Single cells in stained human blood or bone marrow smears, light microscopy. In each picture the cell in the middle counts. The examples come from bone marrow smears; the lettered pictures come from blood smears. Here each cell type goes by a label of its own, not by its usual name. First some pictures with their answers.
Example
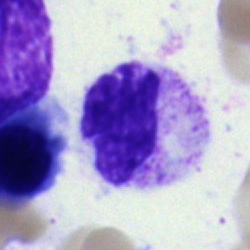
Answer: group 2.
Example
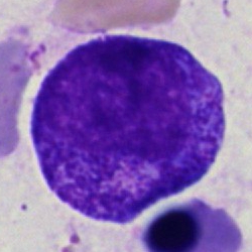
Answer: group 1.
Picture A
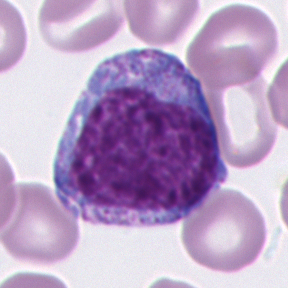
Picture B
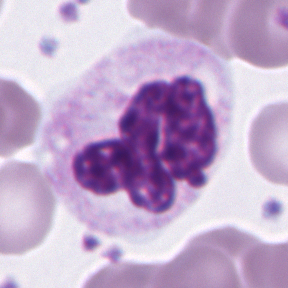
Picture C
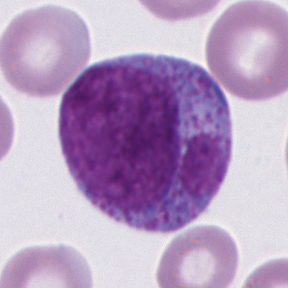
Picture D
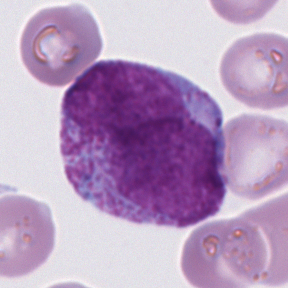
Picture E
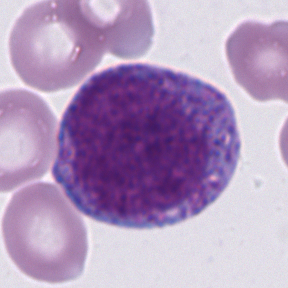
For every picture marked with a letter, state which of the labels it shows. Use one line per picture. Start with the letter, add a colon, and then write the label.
A: group 1.
B: group 2.
C: group 1.
D: group 1.
E: group 1.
